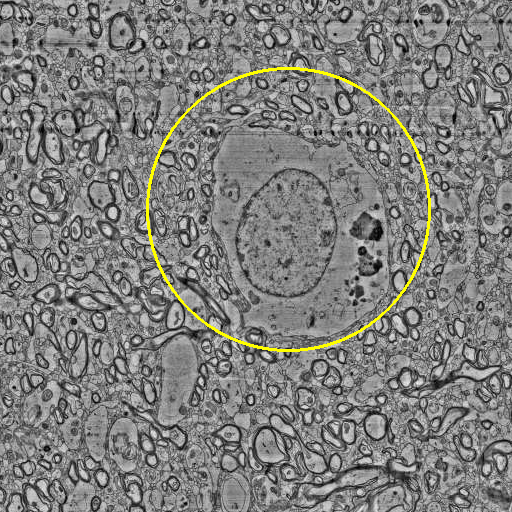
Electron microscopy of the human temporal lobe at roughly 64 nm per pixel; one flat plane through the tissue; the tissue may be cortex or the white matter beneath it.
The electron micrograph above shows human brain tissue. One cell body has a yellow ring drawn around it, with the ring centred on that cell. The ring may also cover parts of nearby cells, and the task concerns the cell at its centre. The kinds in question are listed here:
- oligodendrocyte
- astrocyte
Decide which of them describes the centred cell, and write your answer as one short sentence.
The centred cell is an astrocyte.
